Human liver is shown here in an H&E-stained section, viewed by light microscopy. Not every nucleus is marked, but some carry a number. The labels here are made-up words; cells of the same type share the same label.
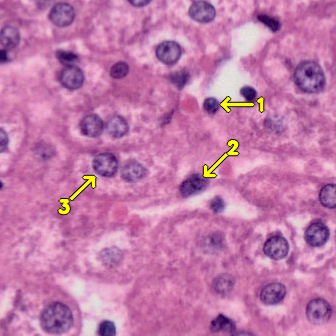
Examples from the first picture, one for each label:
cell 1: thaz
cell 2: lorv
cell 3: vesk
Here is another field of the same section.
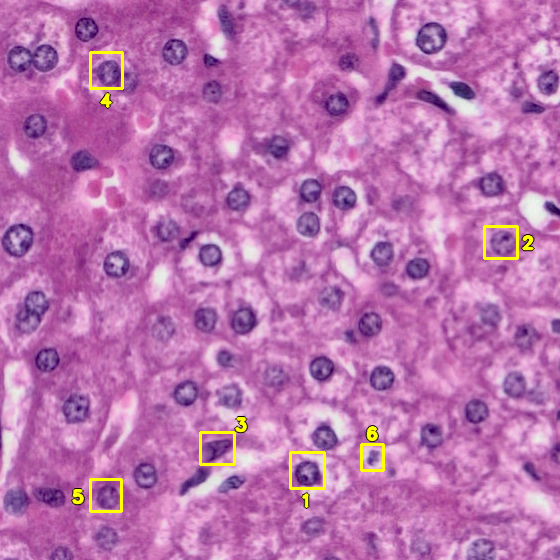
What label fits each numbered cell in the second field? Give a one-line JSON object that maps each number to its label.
{"1": "vesk", "2": "vesk", "3": "lorv", "4": "vesk", "5": "vesk", "6": "thaz"}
